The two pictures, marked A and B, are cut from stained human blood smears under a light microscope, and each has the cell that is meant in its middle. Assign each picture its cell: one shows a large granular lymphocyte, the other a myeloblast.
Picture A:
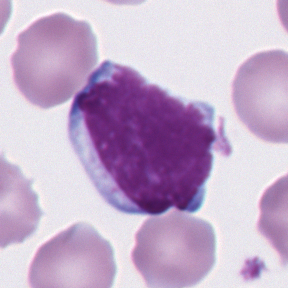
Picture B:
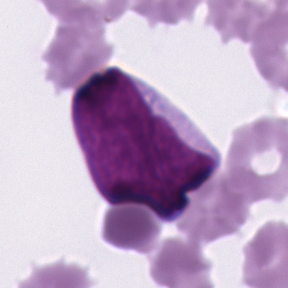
A: large granular lymphocyte
B: myeloblast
